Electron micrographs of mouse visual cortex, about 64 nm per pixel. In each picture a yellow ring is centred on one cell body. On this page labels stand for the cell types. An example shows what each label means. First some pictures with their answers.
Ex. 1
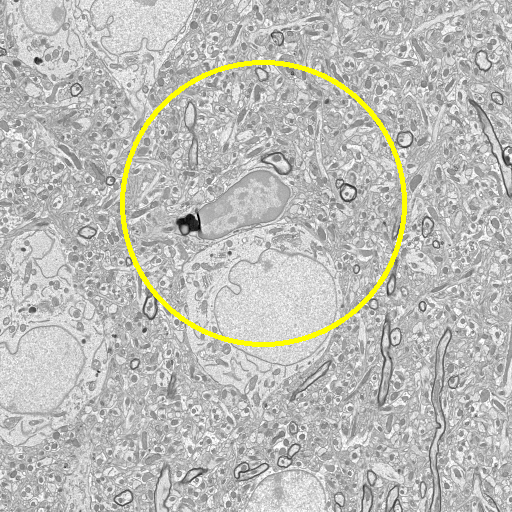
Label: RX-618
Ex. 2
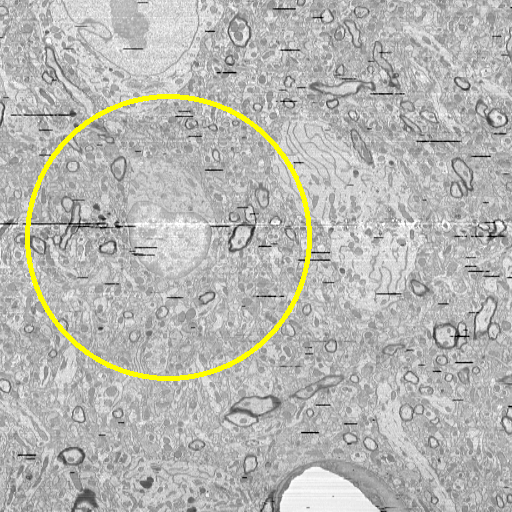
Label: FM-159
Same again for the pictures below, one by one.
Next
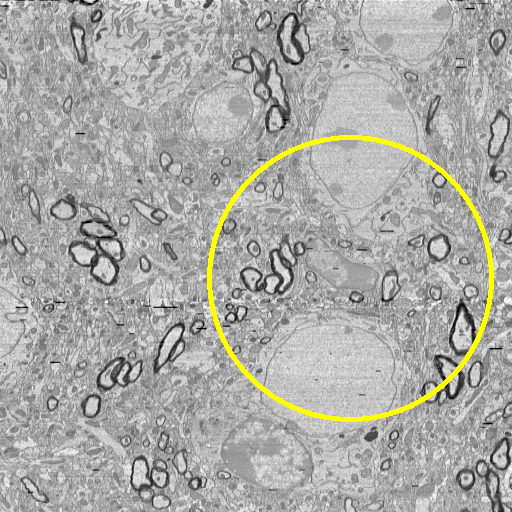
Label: RX-618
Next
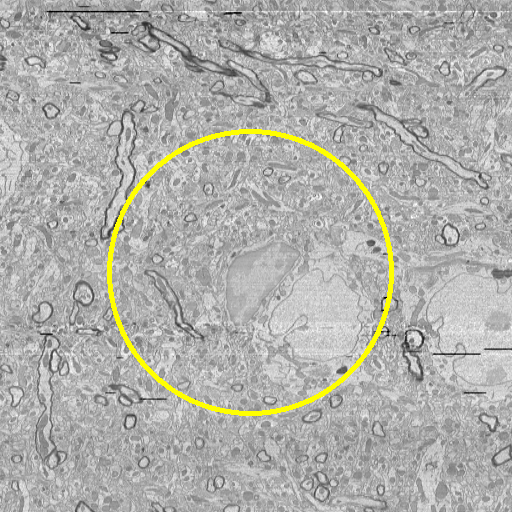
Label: RX-618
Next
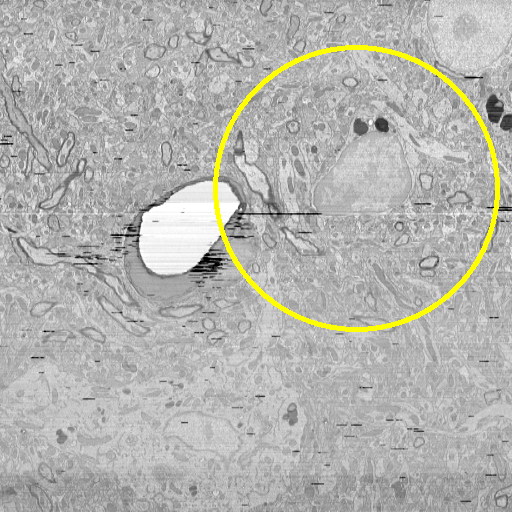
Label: RX-618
